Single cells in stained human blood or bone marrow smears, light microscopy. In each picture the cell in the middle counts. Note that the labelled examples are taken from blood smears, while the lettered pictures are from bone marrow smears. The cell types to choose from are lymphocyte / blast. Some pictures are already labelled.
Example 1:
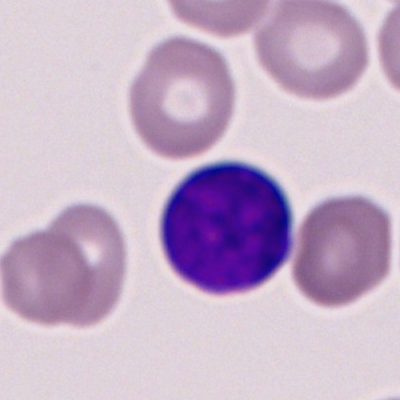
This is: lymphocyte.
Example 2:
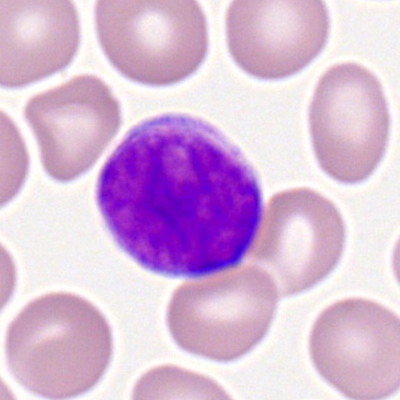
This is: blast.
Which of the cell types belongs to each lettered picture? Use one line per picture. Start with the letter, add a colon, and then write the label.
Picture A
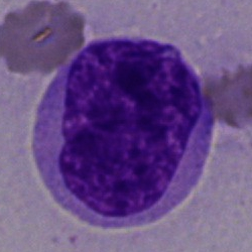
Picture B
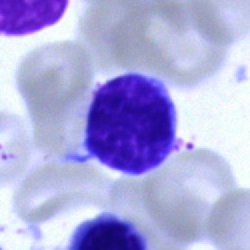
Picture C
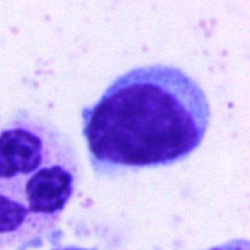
A: blast.
B: lymphocyte.
C: lymphocyte.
